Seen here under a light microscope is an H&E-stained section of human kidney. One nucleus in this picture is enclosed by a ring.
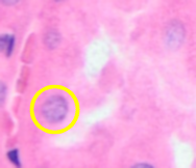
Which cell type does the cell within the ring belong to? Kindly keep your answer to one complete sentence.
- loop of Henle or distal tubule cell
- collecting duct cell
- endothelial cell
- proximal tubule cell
Labelled by cell type, the cell within the ring is a proximal tubule cell.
